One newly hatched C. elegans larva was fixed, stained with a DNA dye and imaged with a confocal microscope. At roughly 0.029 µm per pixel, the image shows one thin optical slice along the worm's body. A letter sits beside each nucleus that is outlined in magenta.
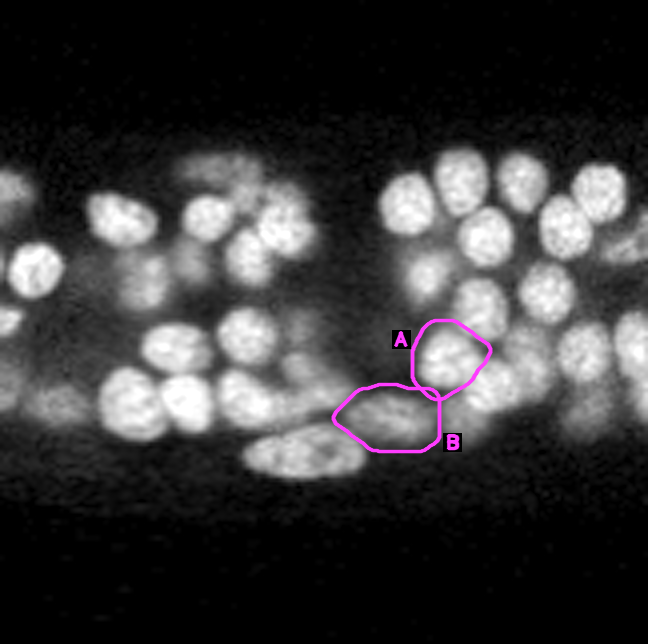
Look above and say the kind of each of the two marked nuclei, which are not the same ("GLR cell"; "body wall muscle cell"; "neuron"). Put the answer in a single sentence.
A is from a neuron, and B is from a body wall muscle cell.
